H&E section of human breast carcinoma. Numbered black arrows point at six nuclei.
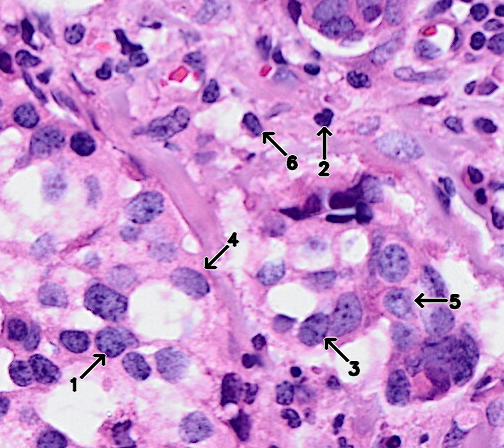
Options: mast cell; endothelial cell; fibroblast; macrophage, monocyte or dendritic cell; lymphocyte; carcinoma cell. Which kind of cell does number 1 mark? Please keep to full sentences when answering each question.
Nucleus 1 in this section belongs to a carcinoma cell.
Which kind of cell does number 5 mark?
It is as a carcinoma cell that the cell numbered 5 is identified.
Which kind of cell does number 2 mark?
The cell referred to as 2 is a lymphocyte.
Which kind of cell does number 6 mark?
Cell 6, as marked in the section, is a mast cell.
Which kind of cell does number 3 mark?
Belonging to a carcinoma cell is the nucleus that carries the number 3.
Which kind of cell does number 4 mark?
Of the numbered cells, the one labelled 4 is a carcinoma cell.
